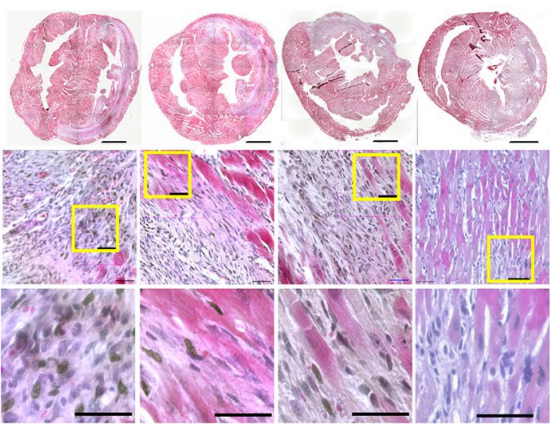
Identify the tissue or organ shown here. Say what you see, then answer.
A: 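The top row shows whole transverse sections with a thick wall surrounding ventricular cavities. Trabeculated inner surfaces line the cavities.
Answer: heart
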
